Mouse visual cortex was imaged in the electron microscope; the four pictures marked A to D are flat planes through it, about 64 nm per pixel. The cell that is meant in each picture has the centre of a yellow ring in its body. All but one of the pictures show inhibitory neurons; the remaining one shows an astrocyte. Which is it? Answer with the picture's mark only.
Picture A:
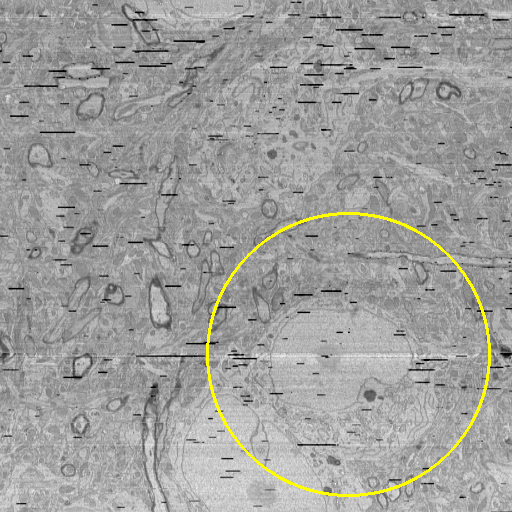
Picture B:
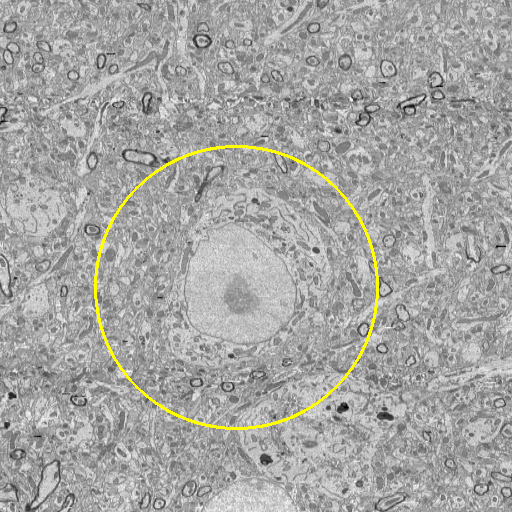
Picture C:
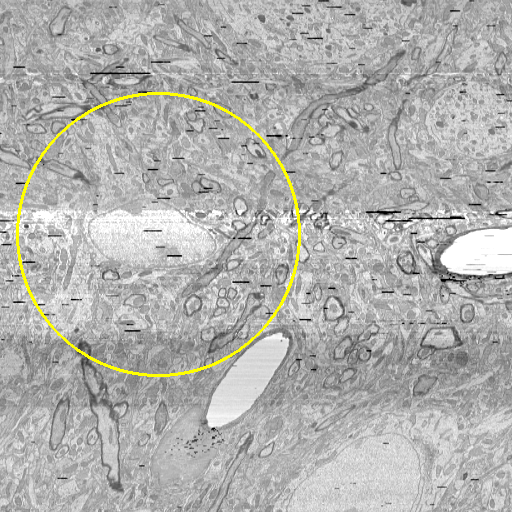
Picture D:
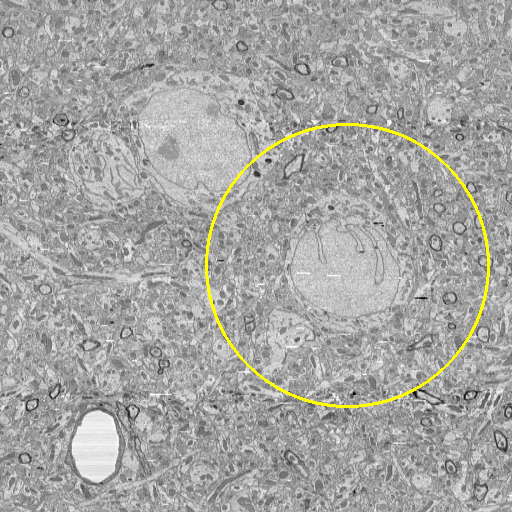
C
